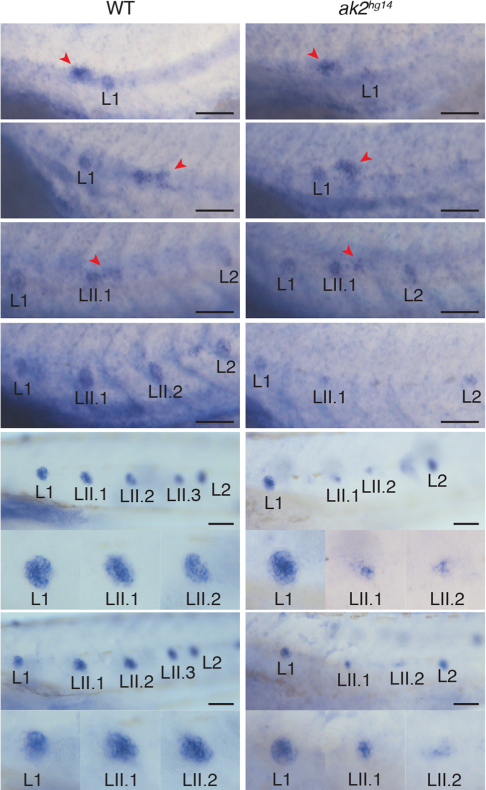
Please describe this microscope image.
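Lateral views of the trunk show the lateral line, with neuromasts appearing as compact oval or rounded patches of blue-purple precipitate spaced along a line. In the right-hand column some of the posterior clusters are smaller and more weakly stained than their counterparts on the left.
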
